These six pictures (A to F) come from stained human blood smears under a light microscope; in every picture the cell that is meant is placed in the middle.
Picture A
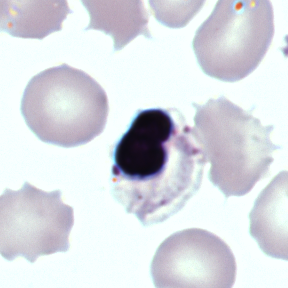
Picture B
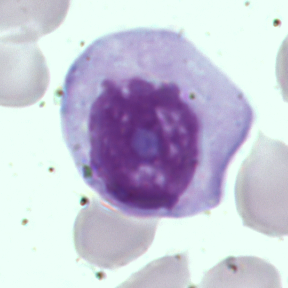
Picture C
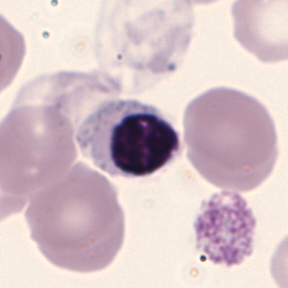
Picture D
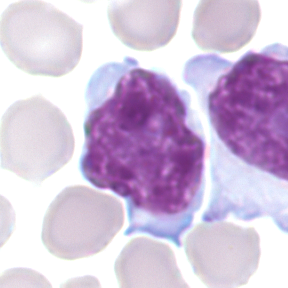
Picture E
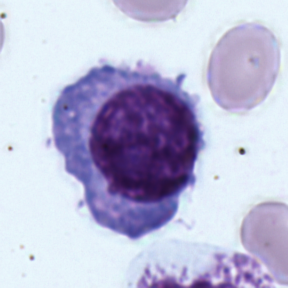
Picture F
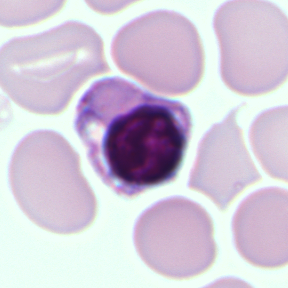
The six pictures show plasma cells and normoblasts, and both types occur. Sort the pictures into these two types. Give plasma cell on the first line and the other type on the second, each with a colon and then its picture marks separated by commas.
plasma cell: B, D, E
normoblast: A, C, F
